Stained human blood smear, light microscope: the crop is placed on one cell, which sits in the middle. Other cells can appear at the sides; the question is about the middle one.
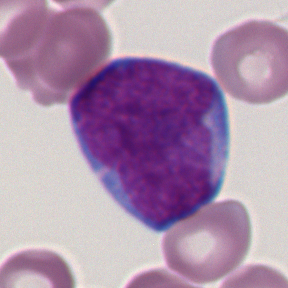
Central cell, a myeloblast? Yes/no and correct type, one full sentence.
Yes, the cell in the middle of this smear crop is a myeloblast.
